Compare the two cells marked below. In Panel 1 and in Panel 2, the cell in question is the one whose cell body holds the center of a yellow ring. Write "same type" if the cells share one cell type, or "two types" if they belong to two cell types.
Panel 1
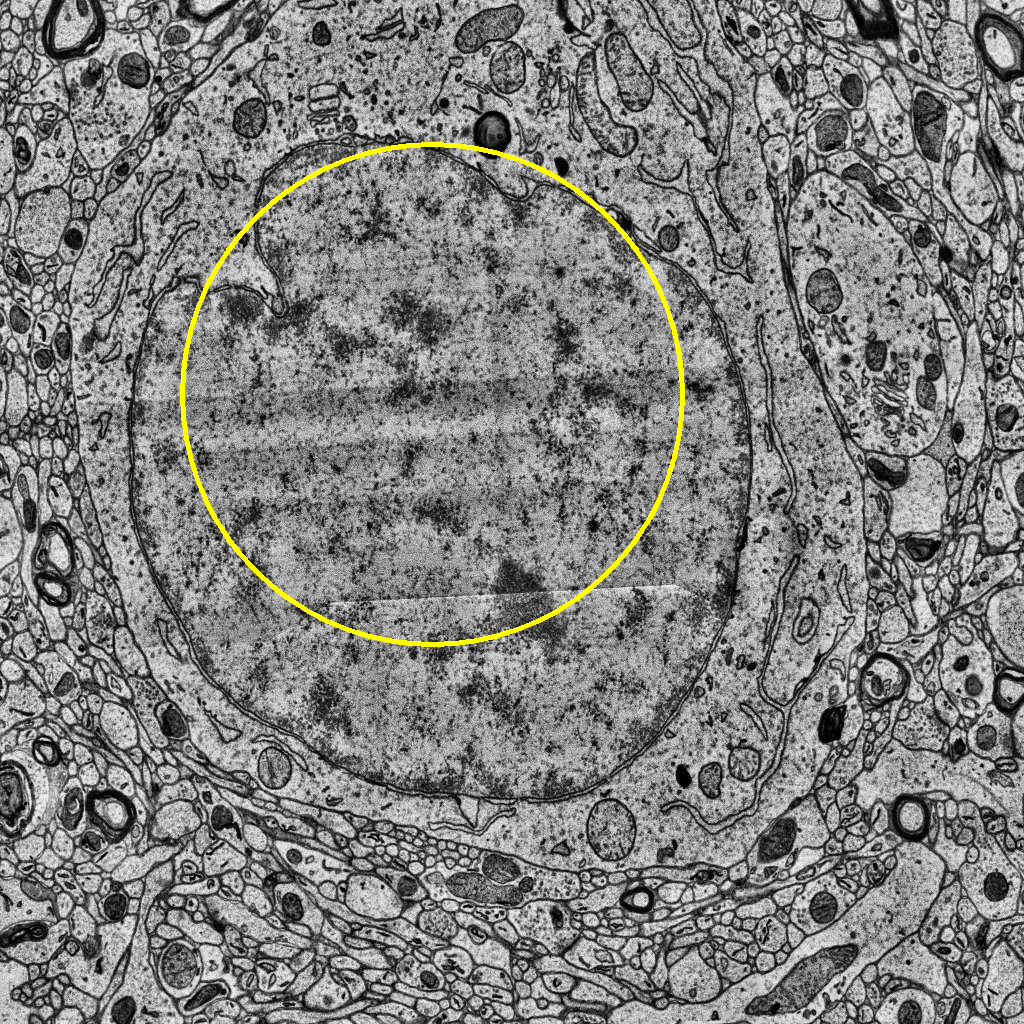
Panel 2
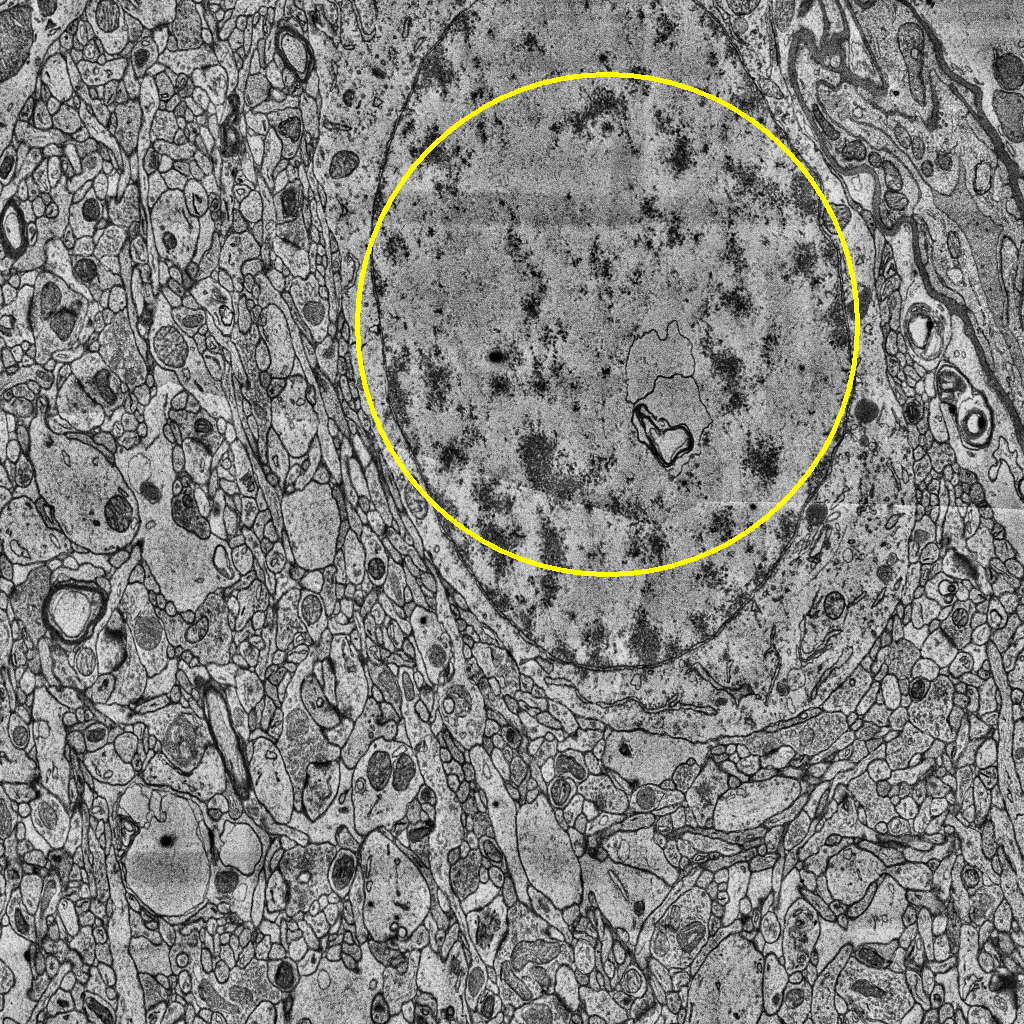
two types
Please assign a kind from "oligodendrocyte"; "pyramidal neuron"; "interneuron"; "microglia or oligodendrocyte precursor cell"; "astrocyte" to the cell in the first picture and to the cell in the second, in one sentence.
The two cells are an interneuron in the first picture and a pyramidal neuron in the second.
